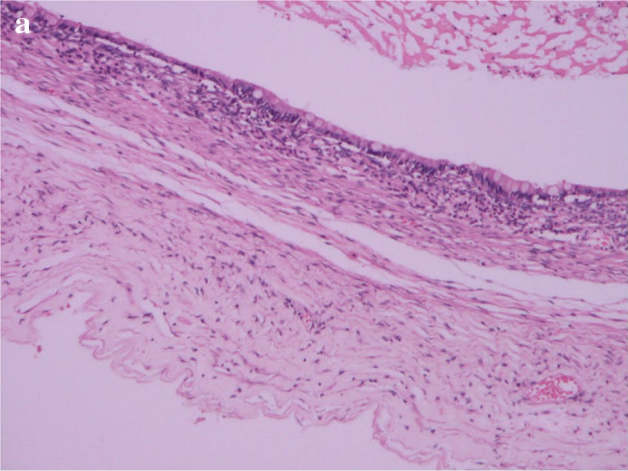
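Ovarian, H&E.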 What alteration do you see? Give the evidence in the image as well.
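A cyst space is lined by a single layer of tall columnar epithelium. The epithelium sits on a fibrous wall without complex papillae.
Mucinous cystadenoma.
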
